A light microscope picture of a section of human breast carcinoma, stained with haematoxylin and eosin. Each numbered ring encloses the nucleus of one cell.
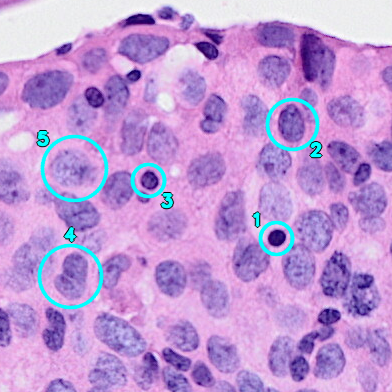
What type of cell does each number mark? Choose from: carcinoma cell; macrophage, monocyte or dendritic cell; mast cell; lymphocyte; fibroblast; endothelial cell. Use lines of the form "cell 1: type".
cell 1: lymphocyte
cell 2: carcinoma cell
cell 3: lymphocyte
cell 4: carcinoma cell
cell 5: carcinoma cell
